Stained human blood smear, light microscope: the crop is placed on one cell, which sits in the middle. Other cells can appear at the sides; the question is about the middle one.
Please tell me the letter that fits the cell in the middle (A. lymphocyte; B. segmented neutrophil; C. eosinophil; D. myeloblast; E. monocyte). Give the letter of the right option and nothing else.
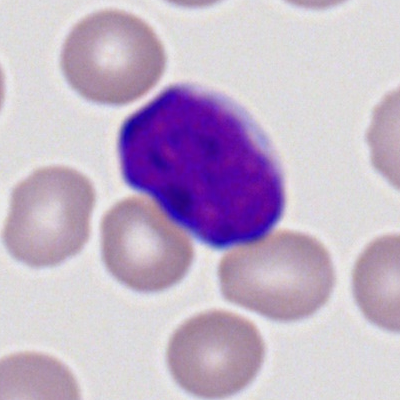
D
